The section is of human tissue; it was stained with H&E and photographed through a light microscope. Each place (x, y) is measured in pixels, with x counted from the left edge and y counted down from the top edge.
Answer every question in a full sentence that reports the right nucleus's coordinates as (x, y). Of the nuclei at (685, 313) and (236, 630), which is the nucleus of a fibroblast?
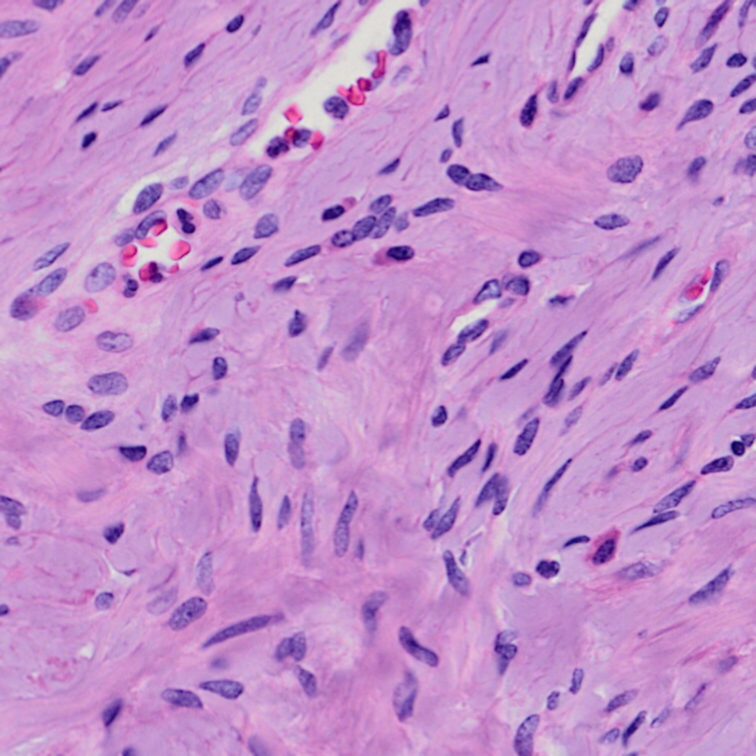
The nucleus located at (236, 630) is the one held within a fibroblast.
